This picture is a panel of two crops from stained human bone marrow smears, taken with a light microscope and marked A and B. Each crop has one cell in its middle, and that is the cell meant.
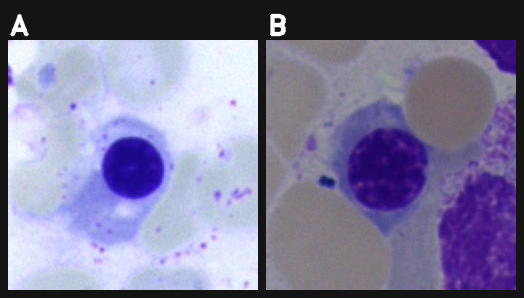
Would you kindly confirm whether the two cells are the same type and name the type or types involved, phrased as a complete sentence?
Yes, the two crops show normoblasts at their centres.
